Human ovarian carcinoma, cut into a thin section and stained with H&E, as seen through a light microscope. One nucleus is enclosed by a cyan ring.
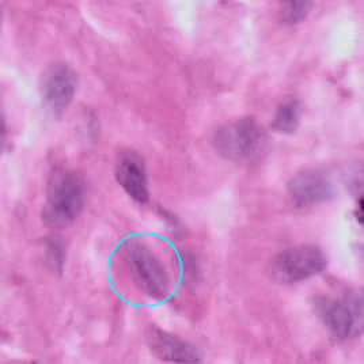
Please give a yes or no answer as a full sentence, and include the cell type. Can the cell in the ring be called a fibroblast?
Yes, the cell in the ring qualifies as a fibroblast in this section.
